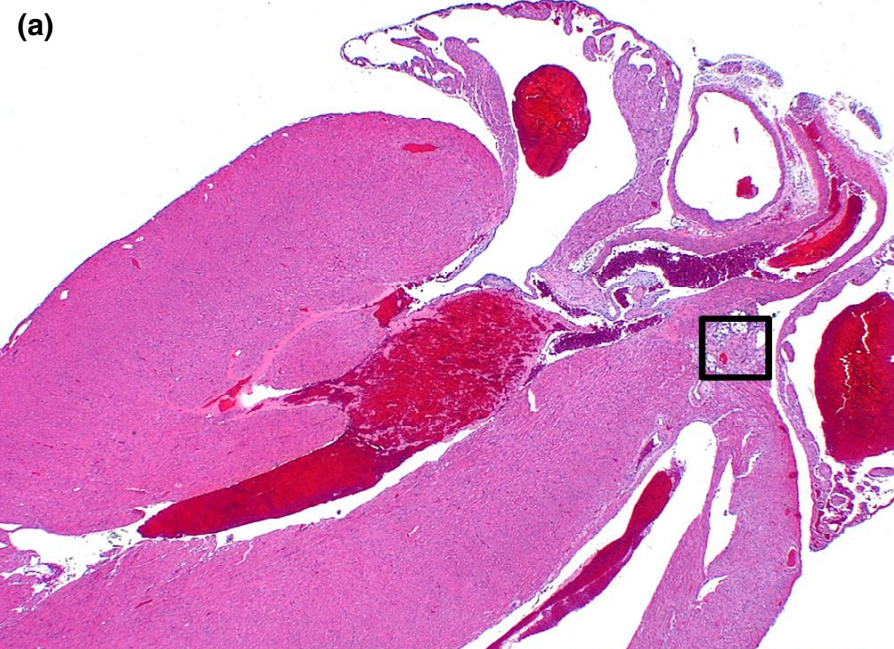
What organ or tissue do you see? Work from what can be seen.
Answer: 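Large masses of pink muscular tissue enclose several chambers. The chambers and vessels contain red blood clots. Thin-walled vessels and fat lie at one end of the muscular mass.
Hence: heart.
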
